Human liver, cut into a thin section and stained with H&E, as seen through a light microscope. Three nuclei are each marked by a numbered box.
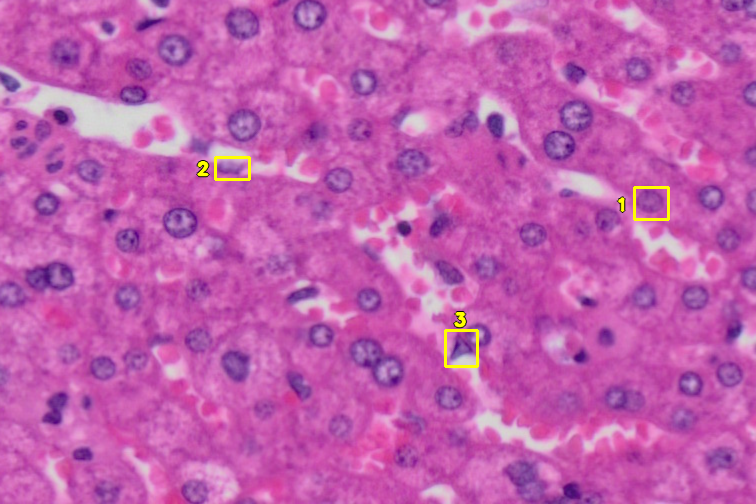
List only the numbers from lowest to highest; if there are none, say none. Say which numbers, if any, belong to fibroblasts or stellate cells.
none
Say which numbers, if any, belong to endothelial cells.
3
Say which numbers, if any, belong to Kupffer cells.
2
